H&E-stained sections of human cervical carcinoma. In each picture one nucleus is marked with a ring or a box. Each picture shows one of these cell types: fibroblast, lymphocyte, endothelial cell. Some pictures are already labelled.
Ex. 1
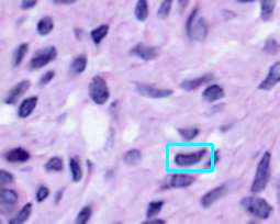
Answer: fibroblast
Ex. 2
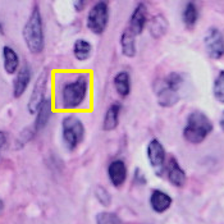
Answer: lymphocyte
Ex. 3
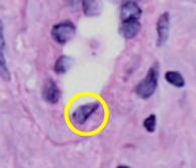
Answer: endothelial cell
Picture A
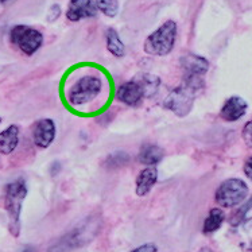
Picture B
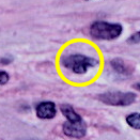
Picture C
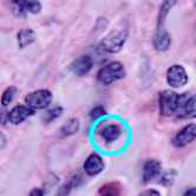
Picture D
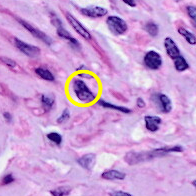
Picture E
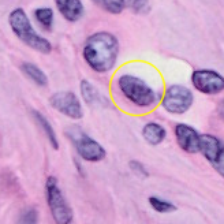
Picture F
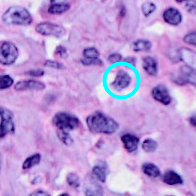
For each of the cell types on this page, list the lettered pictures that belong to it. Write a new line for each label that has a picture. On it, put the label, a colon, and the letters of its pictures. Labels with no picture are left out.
lymphocyte: A, B, C, D, F
endothelial cell: E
